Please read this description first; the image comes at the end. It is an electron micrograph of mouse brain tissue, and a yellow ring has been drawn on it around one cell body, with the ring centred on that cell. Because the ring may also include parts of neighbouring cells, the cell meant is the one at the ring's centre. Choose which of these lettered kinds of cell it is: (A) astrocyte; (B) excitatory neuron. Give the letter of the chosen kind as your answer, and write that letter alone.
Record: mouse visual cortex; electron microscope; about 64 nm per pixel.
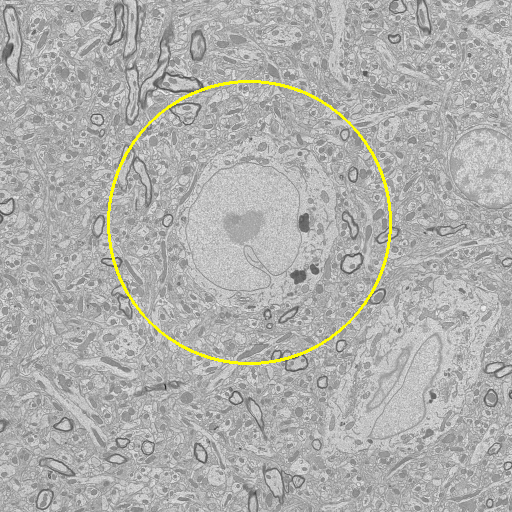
B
